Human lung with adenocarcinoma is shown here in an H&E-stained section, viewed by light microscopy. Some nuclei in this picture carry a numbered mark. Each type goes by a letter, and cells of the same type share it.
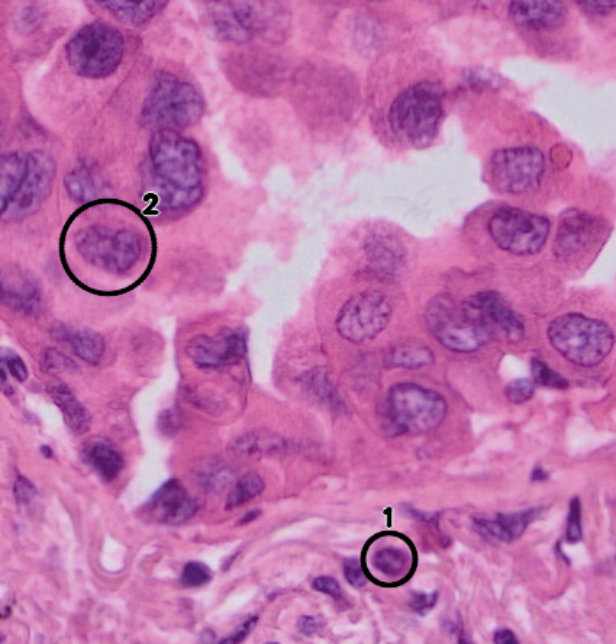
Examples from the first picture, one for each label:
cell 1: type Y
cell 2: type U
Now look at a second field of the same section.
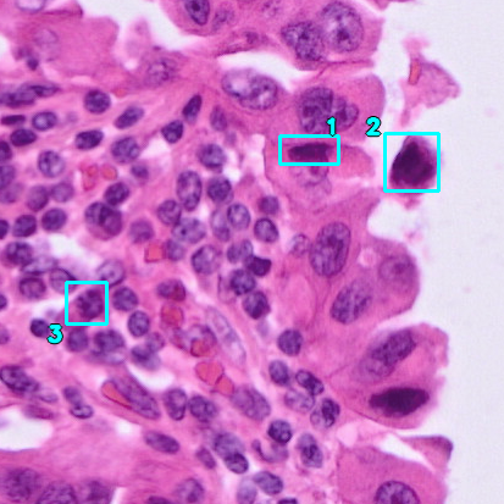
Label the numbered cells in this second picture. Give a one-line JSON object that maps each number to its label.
{"1": "type U", "2": "type U", "3": "type Y"}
